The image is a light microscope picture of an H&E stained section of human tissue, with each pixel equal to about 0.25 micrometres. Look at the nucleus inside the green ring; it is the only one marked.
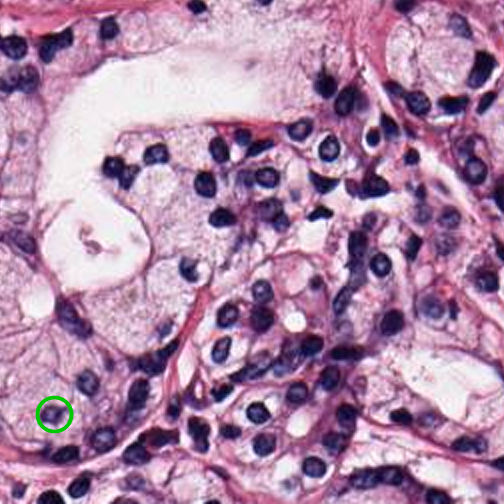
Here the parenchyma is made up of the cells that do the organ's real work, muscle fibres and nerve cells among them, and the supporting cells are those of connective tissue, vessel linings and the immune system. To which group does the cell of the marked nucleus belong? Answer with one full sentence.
The marked nucleus belongs to a cell of the parenchyma, namely a mucous gland cell.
